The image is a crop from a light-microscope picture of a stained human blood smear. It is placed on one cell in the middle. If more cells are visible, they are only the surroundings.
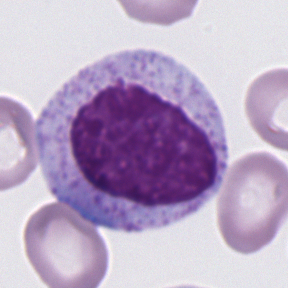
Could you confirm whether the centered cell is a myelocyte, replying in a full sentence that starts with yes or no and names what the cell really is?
Yes, the crop's central cell is a myelocyte.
